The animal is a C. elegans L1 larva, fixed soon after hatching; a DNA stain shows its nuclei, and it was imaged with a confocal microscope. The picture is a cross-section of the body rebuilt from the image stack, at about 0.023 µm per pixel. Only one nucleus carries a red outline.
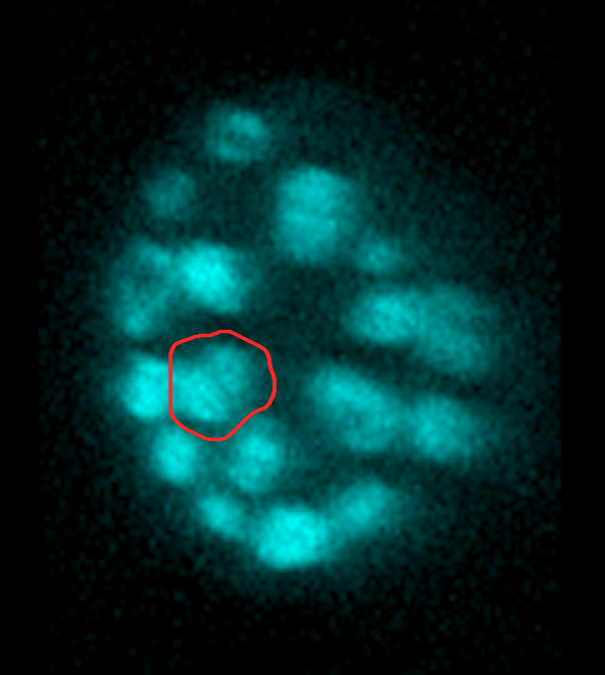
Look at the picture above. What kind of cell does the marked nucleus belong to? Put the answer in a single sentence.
It belongs to a pharyngeal muscle cell.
